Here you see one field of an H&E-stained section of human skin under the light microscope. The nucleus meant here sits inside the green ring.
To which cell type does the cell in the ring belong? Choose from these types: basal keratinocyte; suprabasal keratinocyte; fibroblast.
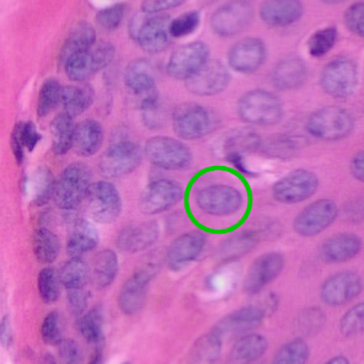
suprabasal keratinocyte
